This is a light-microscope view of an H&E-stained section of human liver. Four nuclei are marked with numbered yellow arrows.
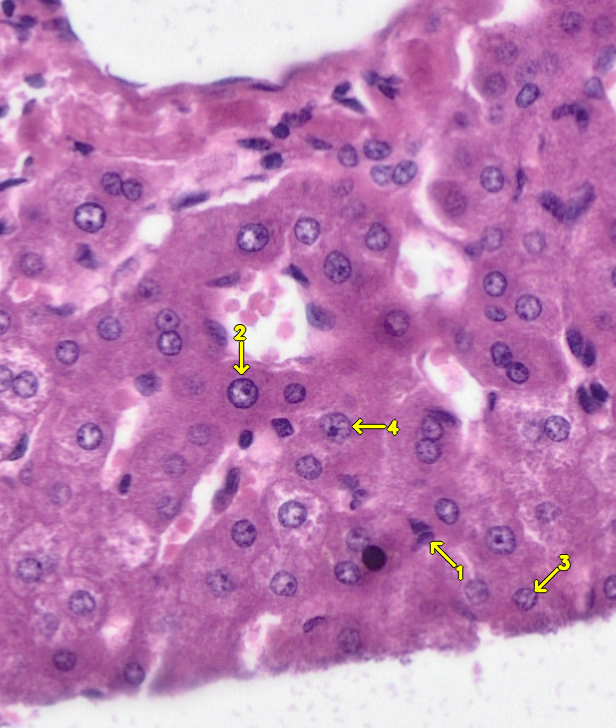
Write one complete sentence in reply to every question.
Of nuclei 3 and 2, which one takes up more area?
Nucleus 2 is the larger one, covering about 1.5 times the area of nucleus 3.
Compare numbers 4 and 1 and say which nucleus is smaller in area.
Nucleus 1 covers less area, with nucleus 4 about 1.5 times as large.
